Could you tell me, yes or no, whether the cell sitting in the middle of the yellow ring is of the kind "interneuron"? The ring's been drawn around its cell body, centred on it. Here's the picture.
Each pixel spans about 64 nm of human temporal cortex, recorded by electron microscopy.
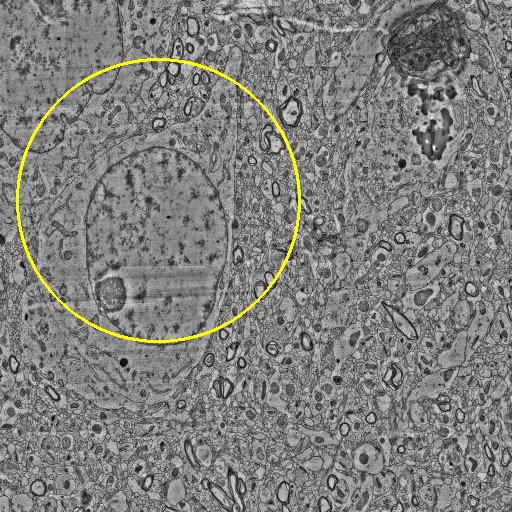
No, it is of another kind.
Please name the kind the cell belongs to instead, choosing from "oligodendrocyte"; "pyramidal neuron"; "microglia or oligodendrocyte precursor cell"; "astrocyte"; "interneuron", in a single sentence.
The cell enclosed by the ring is a pyramidal neuron.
